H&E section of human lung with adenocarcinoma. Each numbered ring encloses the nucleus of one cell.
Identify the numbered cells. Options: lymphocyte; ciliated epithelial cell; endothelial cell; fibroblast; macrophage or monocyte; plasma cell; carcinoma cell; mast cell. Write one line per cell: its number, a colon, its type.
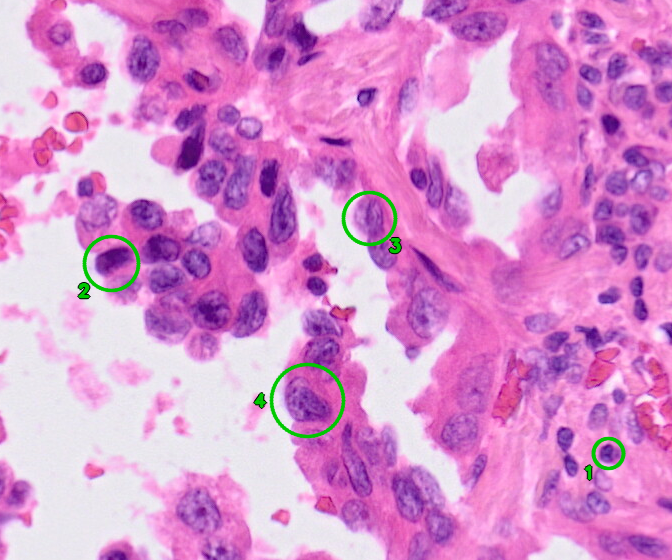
1: lymphocyte
2: carcinoma cell
3: carcinoma cell
4: carcinoma cell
